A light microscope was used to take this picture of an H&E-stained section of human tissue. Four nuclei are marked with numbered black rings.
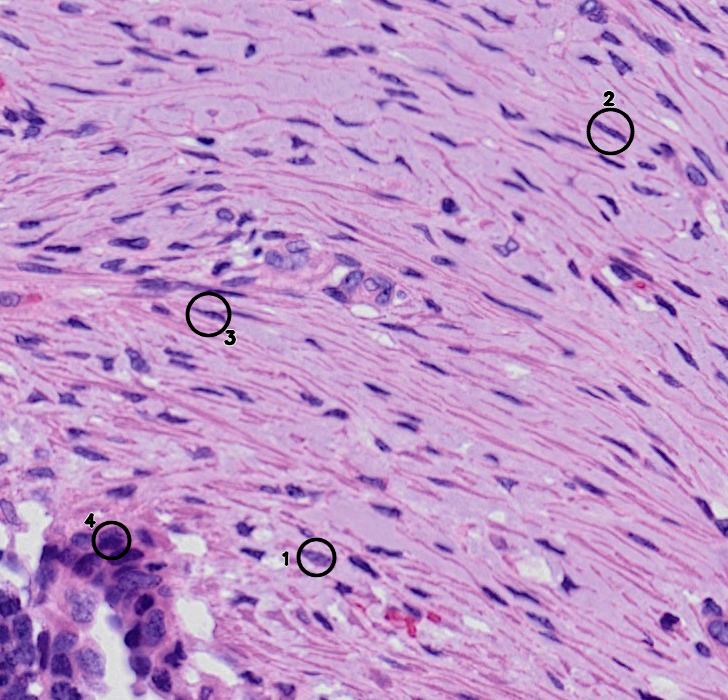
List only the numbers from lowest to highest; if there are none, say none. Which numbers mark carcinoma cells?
4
